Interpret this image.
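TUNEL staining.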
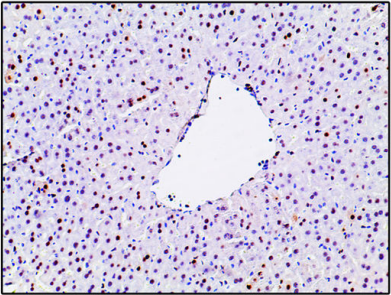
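Liver tissue with hepatocytes arranged in plates radiating around a large, irregular central vessel lumen. The hepatocytes are polygonal with pale pinkish-purple cytoplasm and round central nuclei. Many nuclei across the field are stained dark brown rather than blue, scattered widely through the parenchyma, both near the vessel and farther away; others remain blue-purple. A few small dark cells lie within the vessel lumen.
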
